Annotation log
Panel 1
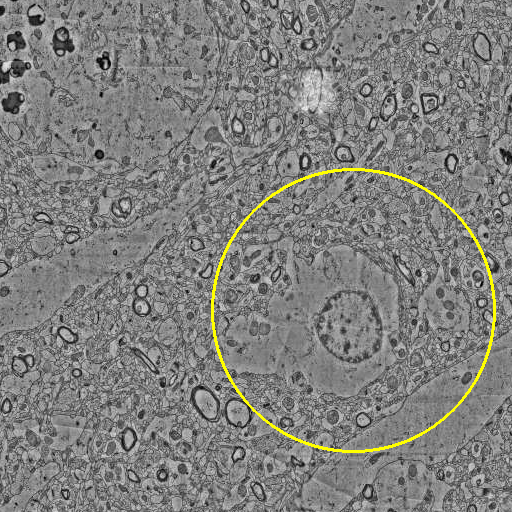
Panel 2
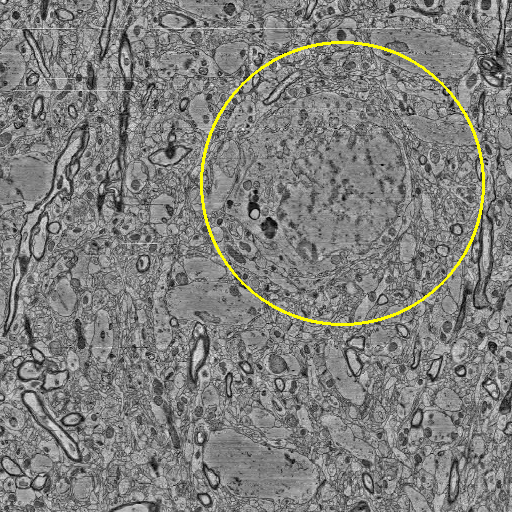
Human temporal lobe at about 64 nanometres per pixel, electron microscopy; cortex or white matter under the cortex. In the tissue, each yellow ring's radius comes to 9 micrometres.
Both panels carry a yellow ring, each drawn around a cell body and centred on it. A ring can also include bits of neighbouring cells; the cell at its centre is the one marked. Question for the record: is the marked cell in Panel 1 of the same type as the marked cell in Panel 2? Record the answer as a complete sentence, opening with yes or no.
No, the marked cells in Panel 1 and Panel 2 are of two types.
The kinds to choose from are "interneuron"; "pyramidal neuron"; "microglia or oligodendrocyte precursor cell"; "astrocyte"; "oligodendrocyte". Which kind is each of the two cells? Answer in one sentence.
Of the two, the first cell is an astrocyte and the second cell is an interneuron.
